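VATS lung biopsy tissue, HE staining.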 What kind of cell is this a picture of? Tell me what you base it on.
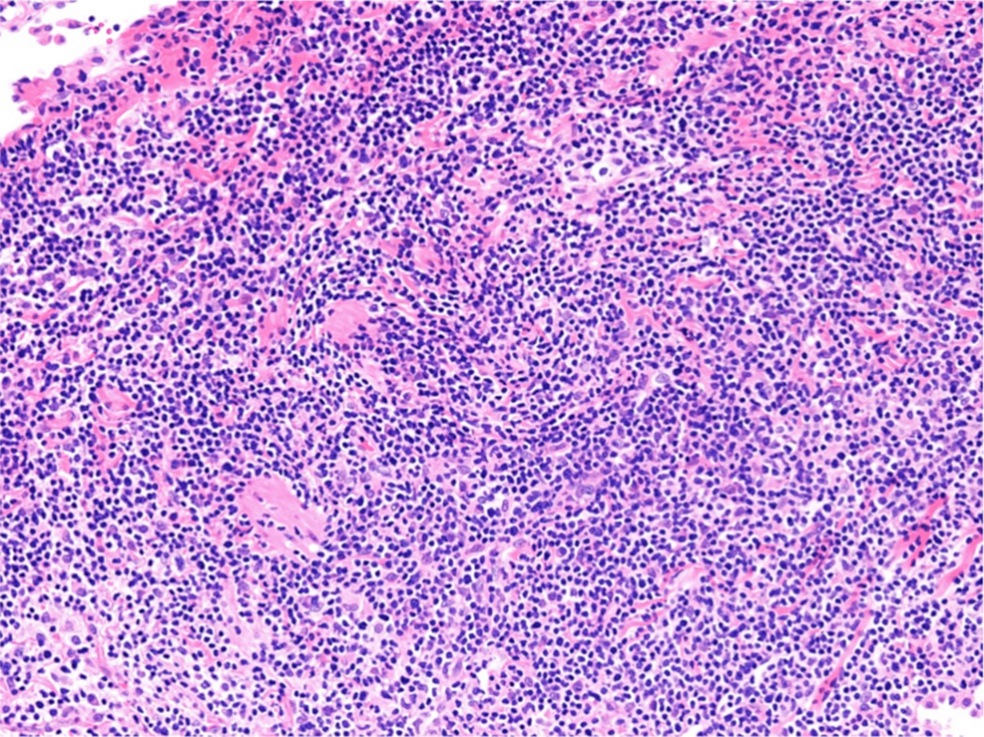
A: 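Dense sheets of small round cells with dark, round nuclei and scant cytoplasm fill almost the whole field. Some cells have a little more pink cytoplasm around the nucleus. Strands of pink collagen run between the crowded cells.
Hence: lymphocytes and plasma cells.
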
